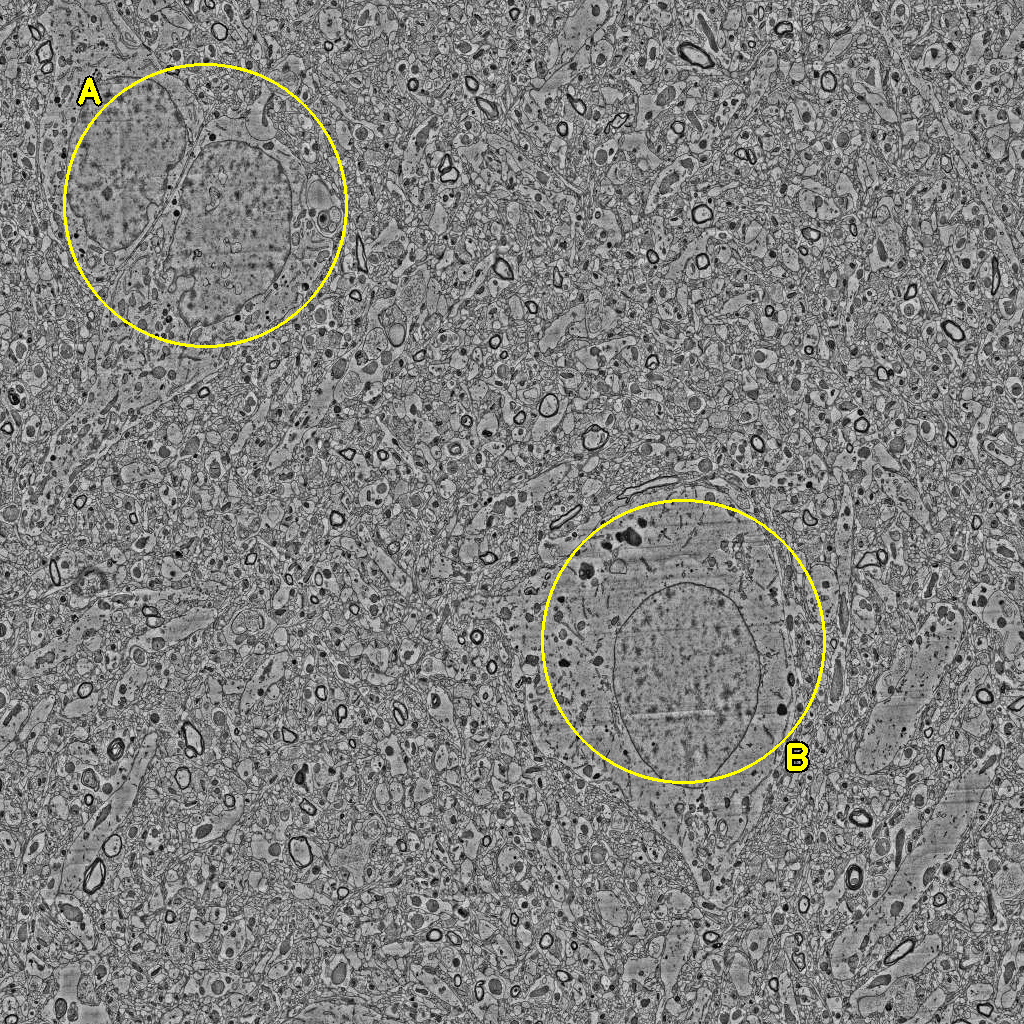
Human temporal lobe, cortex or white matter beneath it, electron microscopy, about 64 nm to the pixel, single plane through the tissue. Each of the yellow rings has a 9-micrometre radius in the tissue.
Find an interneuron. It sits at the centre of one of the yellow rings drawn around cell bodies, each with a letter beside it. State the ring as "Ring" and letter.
Ring A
